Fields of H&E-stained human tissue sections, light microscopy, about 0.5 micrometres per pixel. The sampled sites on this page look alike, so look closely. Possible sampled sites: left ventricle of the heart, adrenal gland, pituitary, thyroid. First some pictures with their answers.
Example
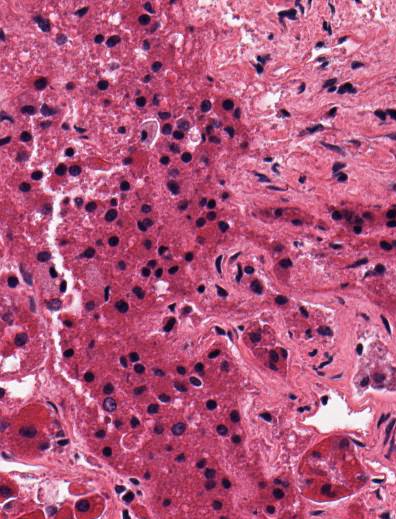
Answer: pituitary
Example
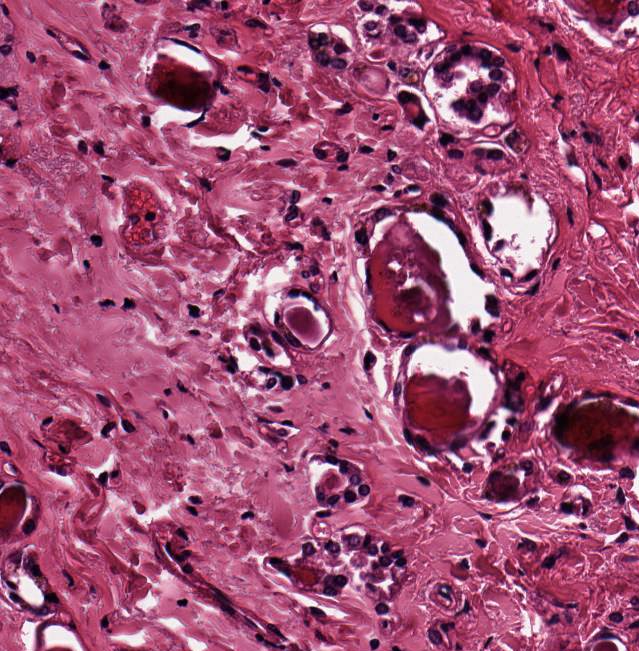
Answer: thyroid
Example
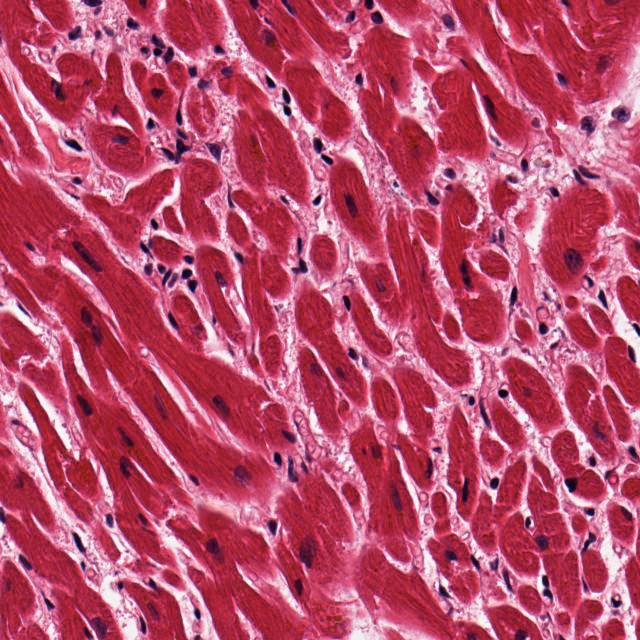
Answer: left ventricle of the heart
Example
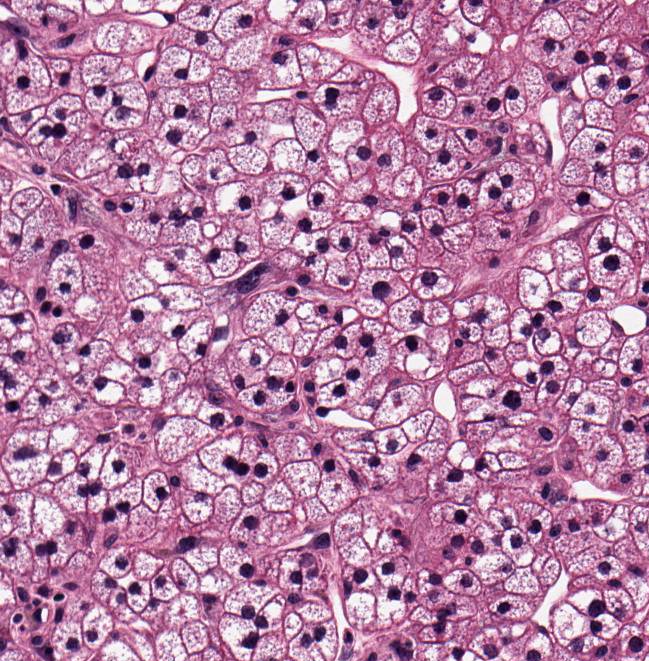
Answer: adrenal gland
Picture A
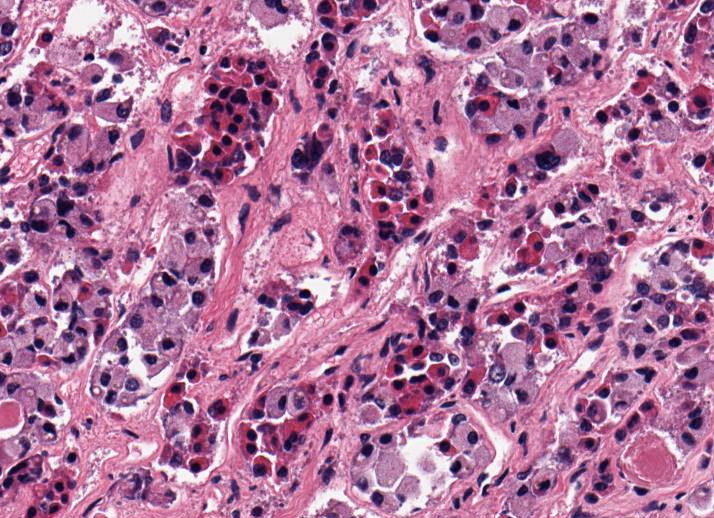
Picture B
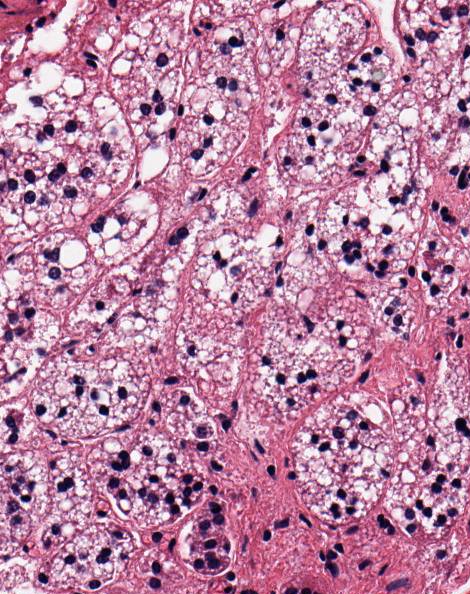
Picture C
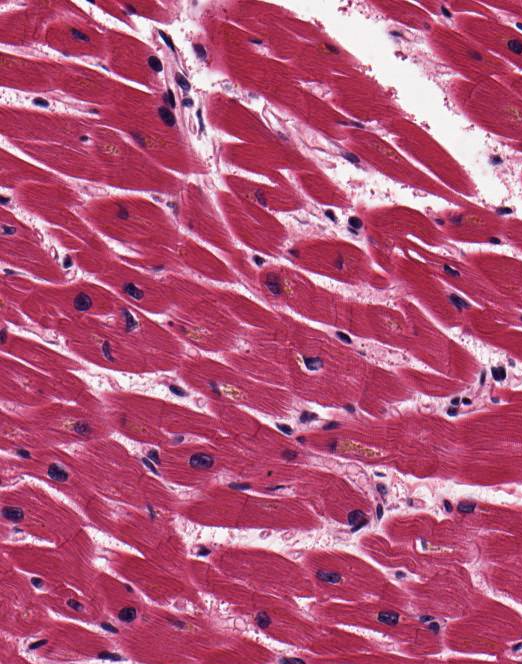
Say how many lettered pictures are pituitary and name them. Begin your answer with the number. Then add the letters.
1: A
